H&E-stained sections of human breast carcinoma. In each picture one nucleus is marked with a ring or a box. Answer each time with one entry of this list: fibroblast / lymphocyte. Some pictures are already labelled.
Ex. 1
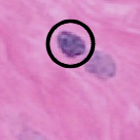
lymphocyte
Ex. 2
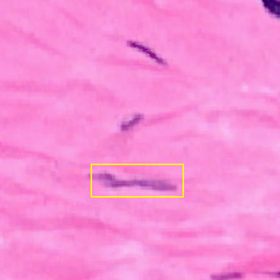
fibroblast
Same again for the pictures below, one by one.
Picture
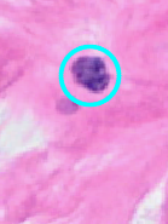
lymphocyte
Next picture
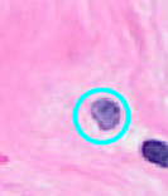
lymphocyte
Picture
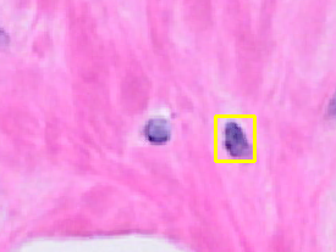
lymphocyte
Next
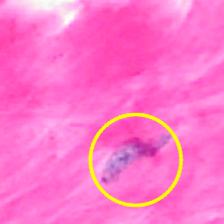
fibroblast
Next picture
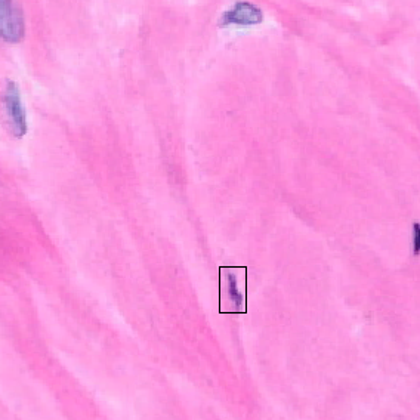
fibroblast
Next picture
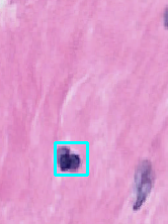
lymphocyte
